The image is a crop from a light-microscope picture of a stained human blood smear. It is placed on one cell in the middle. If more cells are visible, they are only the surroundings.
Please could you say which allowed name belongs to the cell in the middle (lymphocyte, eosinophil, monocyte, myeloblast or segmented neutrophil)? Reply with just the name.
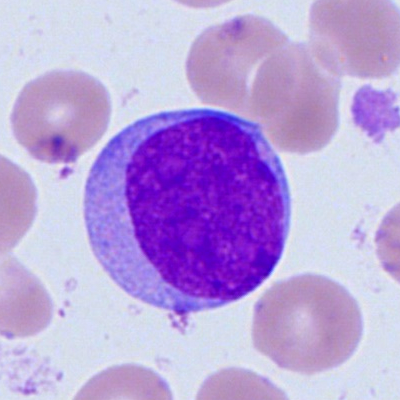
myeloblast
